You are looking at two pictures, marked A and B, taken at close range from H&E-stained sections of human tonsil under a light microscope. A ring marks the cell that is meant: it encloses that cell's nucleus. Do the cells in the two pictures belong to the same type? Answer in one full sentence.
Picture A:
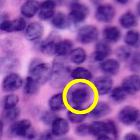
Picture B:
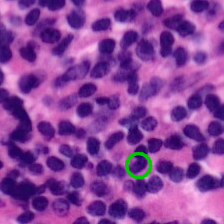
Yes, they are the same type: both are small lymphocytes.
